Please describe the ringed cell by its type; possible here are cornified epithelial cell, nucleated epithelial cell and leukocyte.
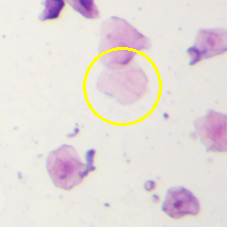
The yellow ring marks a cornified epithelial cell.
